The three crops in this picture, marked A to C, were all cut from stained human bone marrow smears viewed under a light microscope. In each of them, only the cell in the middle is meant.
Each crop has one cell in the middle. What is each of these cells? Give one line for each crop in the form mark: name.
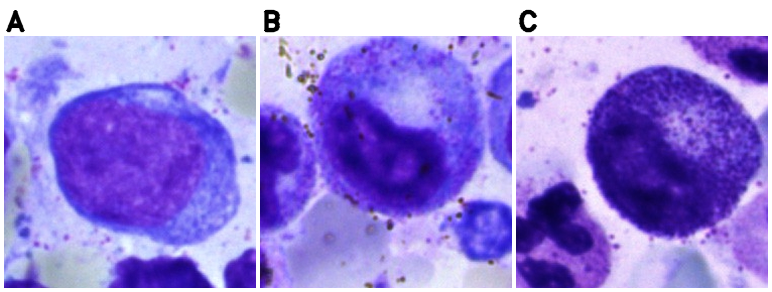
A: blast
B: promyelocyte
C: myelocyte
